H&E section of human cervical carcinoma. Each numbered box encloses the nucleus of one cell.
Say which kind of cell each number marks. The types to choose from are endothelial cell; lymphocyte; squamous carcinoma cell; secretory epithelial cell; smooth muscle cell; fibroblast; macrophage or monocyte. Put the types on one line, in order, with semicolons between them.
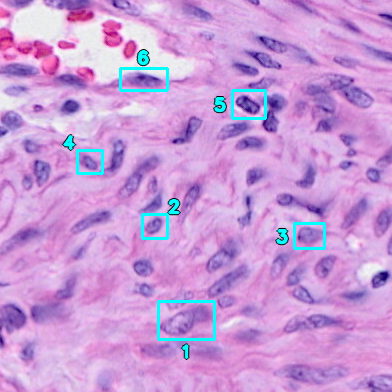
smooth muscle cell; smooth muscle cell; smooth muscle cell; smooth muscle cell; lymphocyte; endothelial cell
